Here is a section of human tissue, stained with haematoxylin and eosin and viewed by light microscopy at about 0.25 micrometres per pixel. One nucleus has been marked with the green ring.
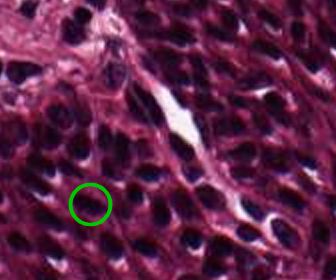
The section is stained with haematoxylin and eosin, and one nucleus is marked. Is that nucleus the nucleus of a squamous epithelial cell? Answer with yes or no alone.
yes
